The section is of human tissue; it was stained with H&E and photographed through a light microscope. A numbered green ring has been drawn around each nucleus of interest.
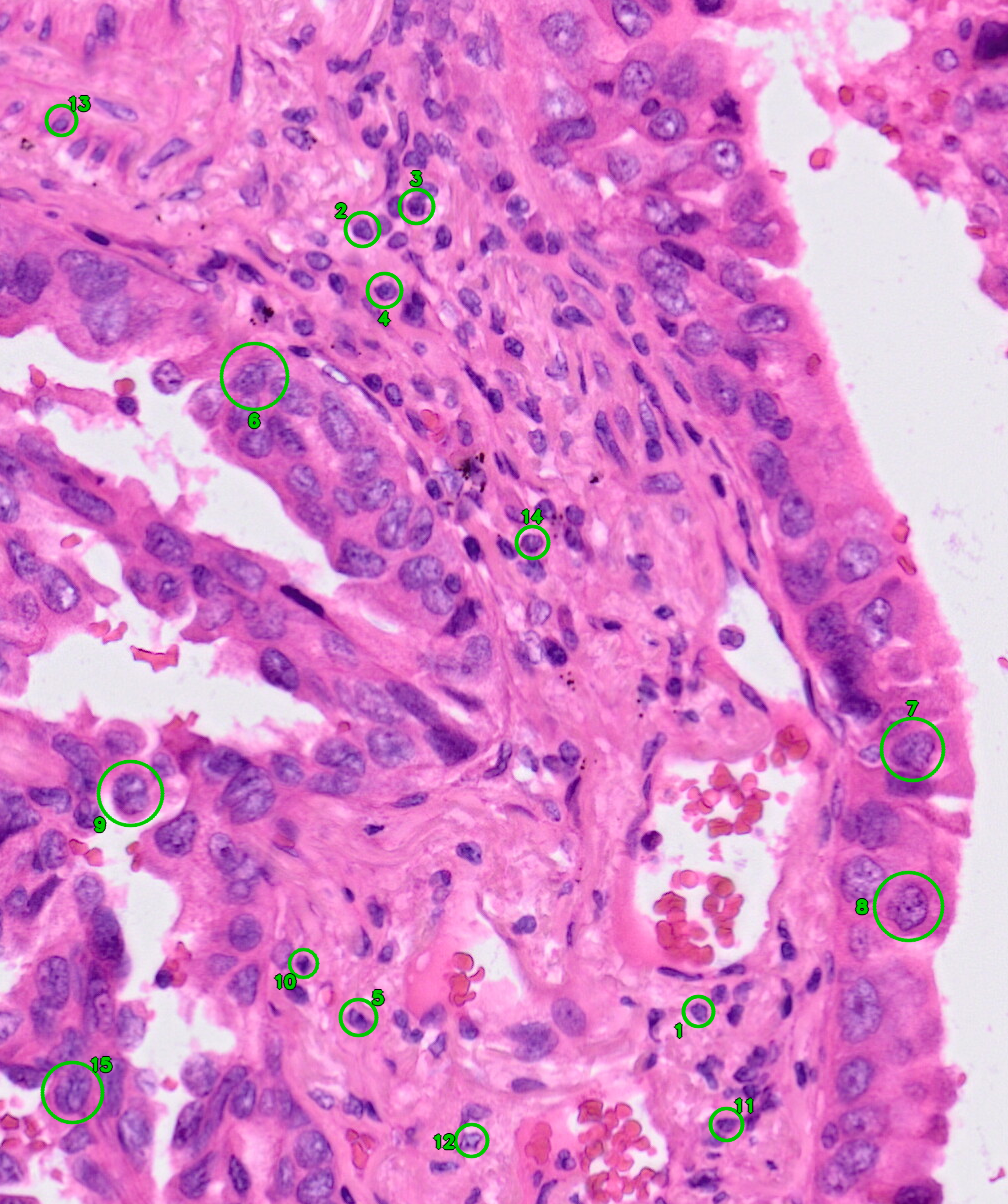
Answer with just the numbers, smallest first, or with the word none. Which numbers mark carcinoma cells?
6, 7, 8, 9, 15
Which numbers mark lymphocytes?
1, 2, 3, 4, 5, 10, 11, 14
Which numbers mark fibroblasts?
12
